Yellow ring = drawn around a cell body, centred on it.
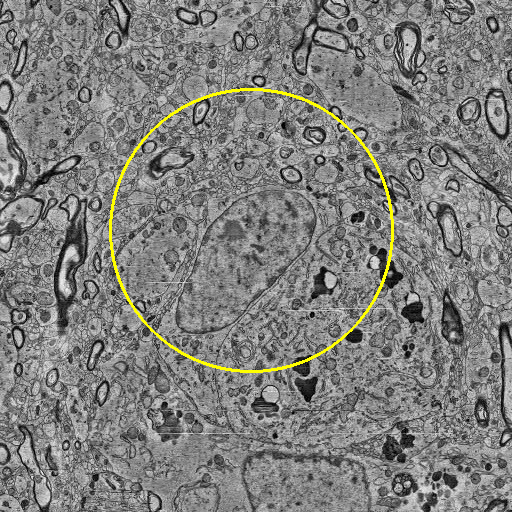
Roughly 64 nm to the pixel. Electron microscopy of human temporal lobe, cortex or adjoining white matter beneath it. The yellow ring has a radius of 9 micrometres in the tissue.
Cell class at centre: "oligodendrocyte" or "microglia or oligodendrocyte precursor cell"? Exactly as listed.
microglia or oligodendrocyte precursor cell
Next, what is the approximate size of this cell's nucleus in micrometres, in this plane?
In this plane the nucleus measures about 11 by 6 micrometres and is clearly longer than it is wide.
